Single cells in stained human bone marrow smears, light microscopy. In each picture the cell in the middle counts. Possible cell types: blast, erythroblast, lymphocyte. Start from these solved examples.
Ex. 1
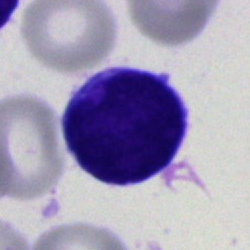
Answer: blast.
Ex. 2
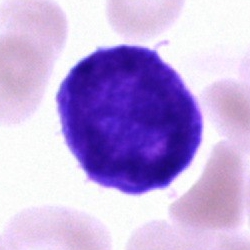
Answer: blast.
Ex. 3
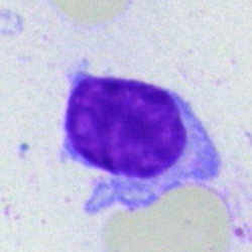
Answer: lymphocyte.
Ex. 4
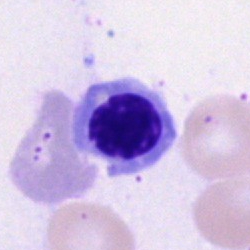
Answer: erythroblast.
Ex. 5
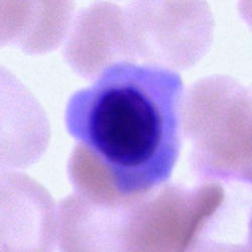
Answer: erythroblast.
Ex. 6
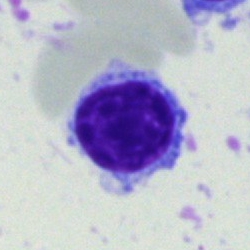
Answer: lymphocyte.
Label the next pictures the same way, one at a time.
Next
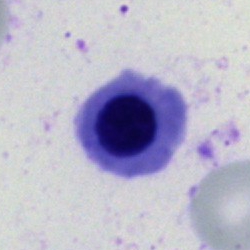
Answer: erythroblast.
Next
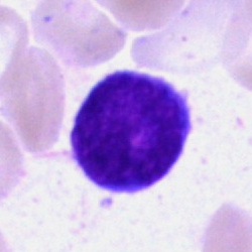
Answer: blast.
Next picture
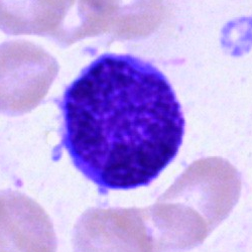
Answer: blast.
